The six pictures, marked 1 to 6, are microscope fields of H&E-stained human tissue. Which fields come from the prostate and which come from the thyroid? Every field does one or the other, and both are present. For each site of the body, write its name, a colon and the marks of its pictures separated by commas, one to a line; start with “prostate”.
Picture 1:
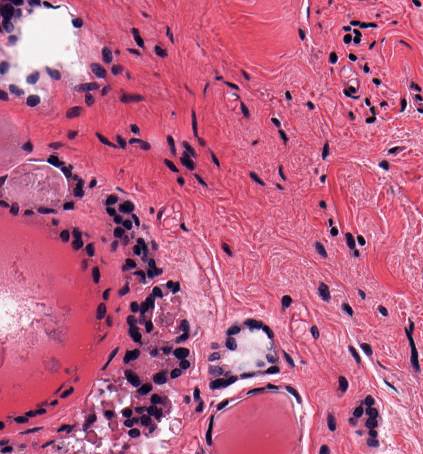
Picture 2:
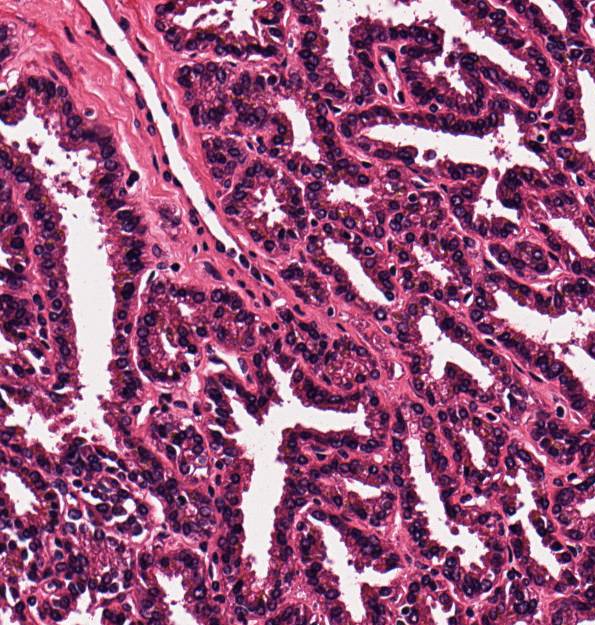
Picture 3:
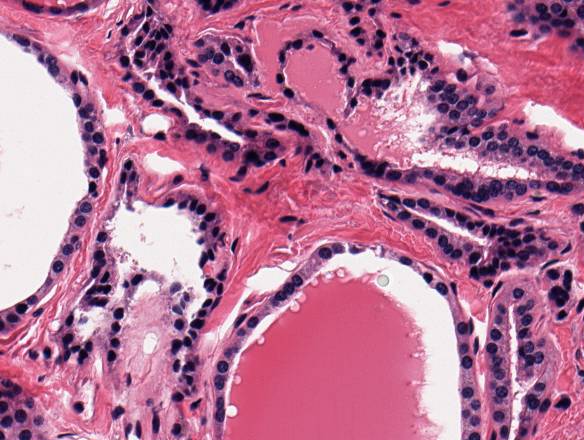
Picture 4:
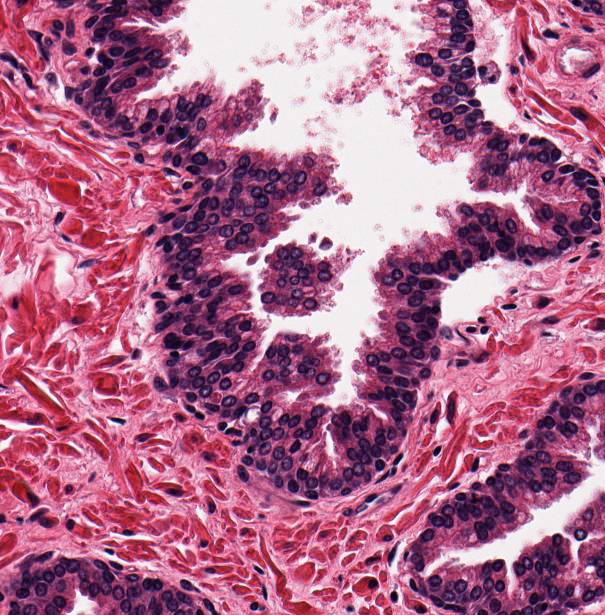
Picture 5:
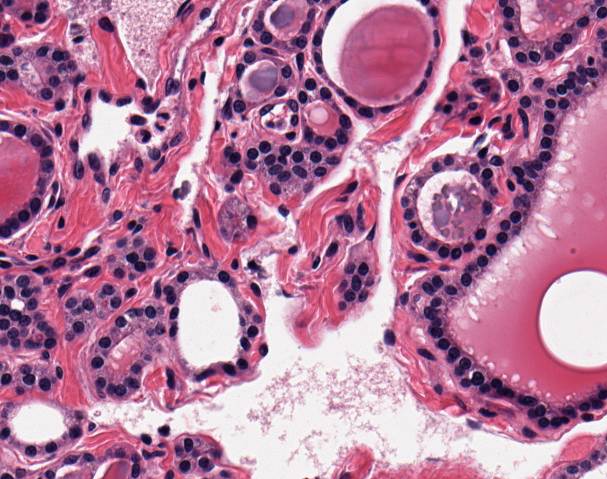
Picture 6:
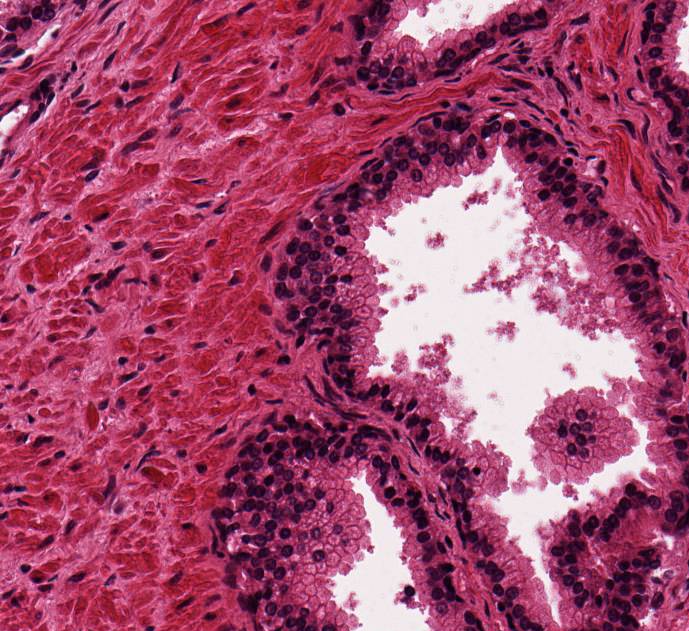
prostate: 2, 4, 6
thyroid: 1, 3, 5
